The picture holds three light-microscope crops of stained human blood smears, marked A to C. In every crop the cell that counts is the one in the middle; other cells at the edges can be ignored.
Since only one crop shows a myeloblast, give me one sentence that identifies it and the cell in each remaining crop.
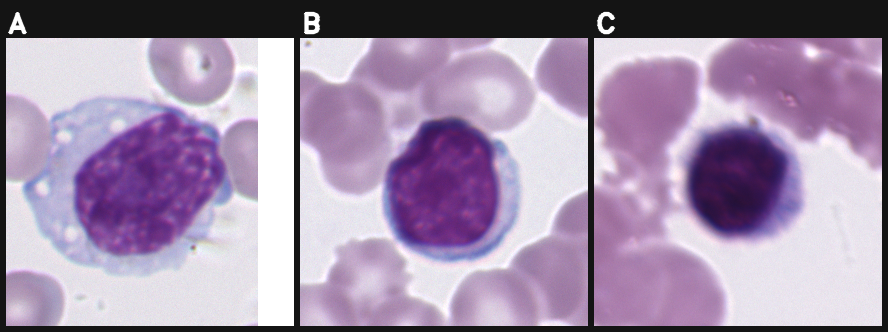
Found in crop A is a myeloblast, whereas crop B is a typical lymphocyte and crop C is a hairy cell.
